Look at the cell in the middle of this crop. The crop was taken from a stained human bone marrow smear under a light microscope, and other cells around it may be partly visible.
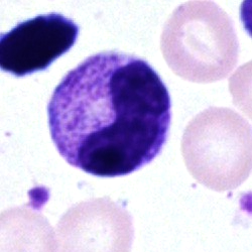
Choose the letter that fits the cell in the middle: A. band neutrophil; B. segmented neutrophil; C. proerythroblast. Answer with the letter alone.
A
